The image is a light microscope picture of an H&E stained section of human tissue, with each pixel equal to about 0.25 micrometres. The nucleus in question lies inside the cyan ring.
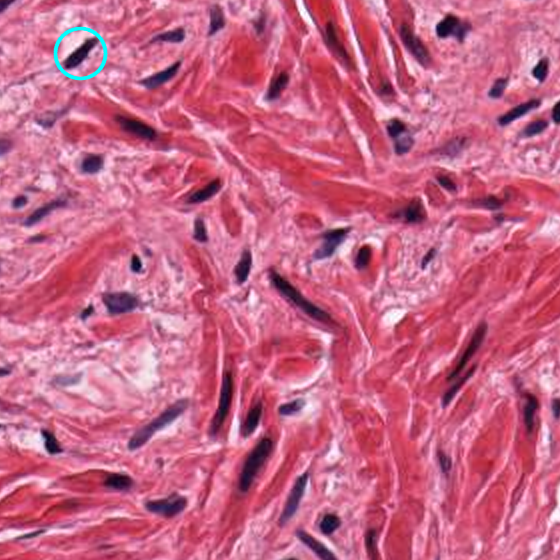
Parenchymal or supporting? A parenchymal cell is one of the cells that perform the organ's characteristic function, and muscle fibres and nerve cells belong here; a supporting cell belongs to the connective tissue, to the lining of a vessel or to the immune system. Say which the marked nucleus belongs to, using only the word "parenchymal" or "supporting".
supporting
